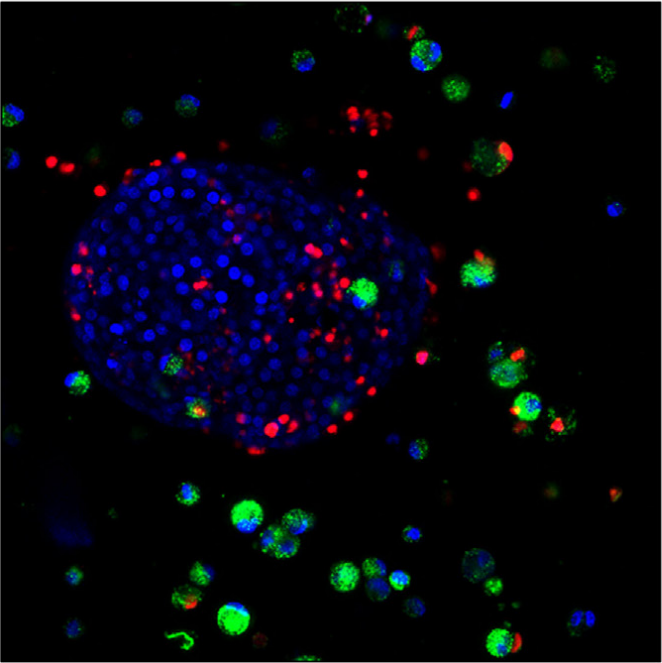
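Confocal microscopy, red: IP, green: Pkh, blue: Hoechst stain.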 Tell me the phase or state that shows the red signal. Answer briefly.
necrotic nuclei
